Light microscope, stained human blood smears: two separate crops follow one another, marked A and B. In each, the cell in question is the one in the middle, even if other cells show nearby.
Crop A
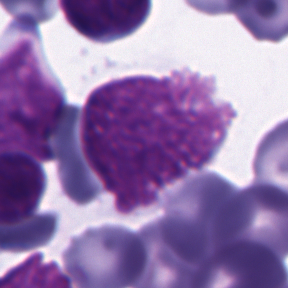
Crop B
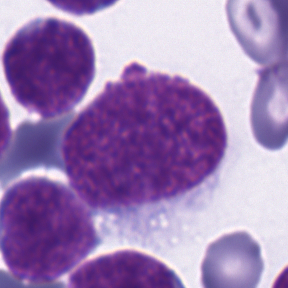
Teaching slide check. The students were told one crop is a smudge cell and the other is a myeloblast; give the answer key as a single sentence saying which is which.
So, crop A is a smudge cell, and crop B is a myeloblast.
